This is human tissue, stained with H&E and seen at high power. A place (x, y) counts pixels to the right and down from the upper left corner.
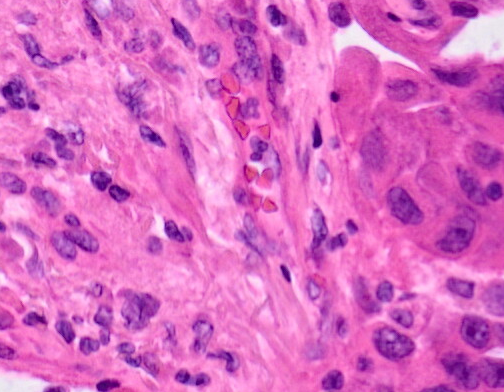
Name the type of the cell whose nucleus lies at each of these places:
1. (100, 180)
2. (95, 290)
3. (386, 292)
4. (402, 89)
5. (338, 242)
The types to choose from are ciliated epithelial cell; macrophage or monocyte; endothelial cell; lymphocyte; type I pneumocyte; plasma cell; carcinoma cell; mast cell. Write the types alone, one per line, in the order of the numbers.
lymphocyte
plasma cell
lymphocyte
carcinoma cell
lymphocyte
